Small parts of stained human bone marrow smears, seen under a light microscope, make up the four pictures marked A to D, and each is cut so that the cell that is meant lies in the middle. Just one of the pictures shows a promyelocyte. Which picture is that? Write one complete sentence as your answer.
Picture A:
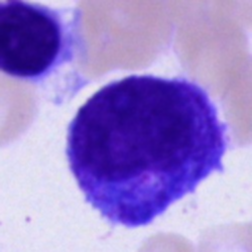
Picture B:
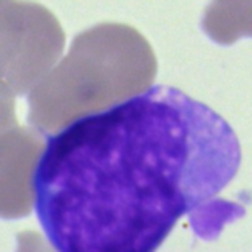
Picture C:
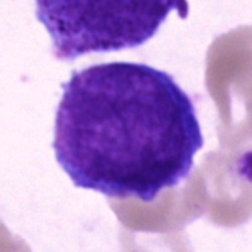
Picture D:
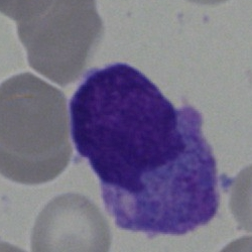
The cell in picture A is the promyelocyte.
